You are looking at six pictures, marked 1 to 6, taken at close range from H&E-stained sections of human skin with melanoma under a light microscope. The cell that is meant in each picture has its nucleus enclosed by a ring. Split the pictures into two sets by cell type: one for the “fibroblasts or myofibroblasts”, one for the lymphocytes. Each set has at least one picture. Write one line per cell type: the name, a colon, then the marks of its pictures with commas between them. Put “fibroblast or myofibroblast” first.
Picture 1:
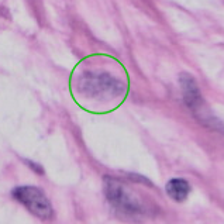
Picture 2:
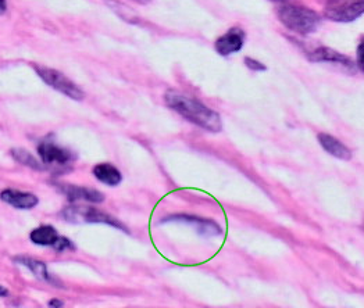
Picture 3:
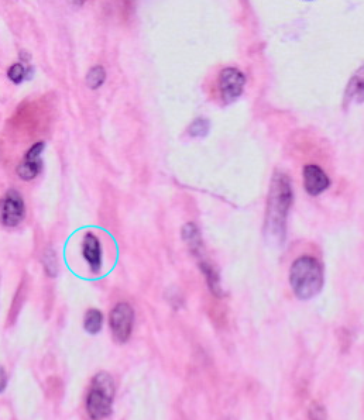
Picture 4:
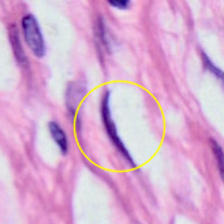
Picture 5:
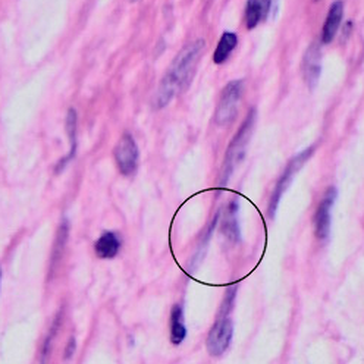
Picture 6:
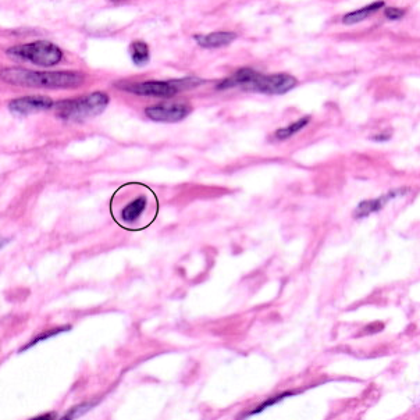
fibroblast or myofibroblast: 1, 2, 4, 5
lymphocyte: 3, 6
